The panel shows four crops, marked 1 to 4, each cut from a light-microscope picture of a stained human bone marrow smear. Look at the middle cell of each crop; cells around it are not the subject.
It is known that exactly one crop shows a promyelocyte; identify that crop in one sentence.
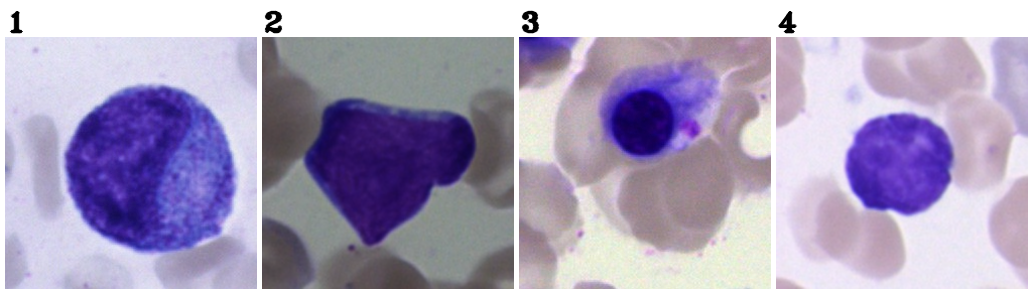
Crop 1 is where a promyelocyte is shown.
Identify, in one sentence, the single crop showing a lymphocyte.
Crop 4 is the one depicting a lymphocyte.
